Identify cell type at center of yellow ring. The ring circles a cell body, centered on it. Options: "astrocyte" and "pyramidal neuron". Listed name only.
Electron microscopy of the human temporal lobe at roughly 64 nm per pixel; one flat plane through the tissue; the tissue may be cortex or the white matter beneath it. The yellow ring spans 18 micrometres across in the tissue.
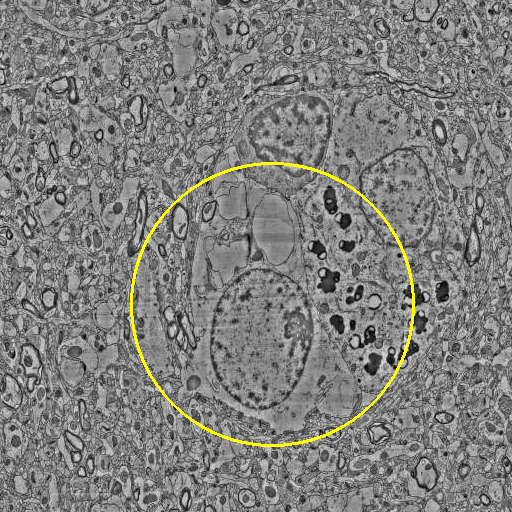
astrocyte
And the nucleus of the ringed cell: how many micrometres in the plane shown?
Roughly 9 by 7 micrometres in this plane, for the nucleus of the ringed cell.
